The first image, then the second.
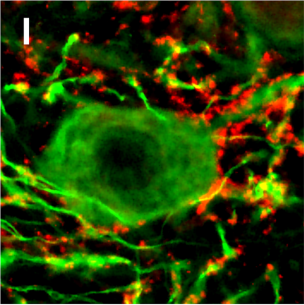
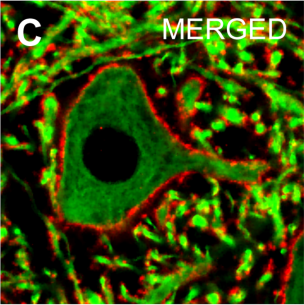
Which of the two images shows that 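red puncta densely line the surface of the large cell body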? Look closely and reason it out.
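The second image. First image: only sparse red puncta touch the large green cell body; most lie in the surrounding neuropil. Second image: a nearly continuous rim of red puncta outlines the large green cell body.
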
